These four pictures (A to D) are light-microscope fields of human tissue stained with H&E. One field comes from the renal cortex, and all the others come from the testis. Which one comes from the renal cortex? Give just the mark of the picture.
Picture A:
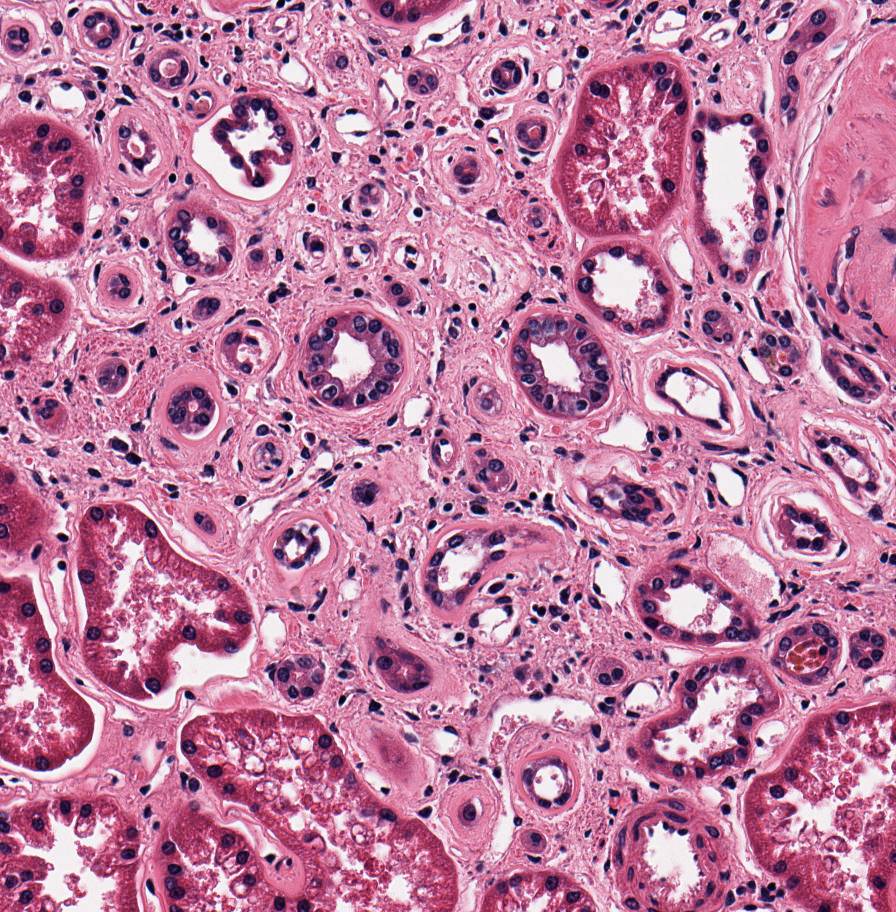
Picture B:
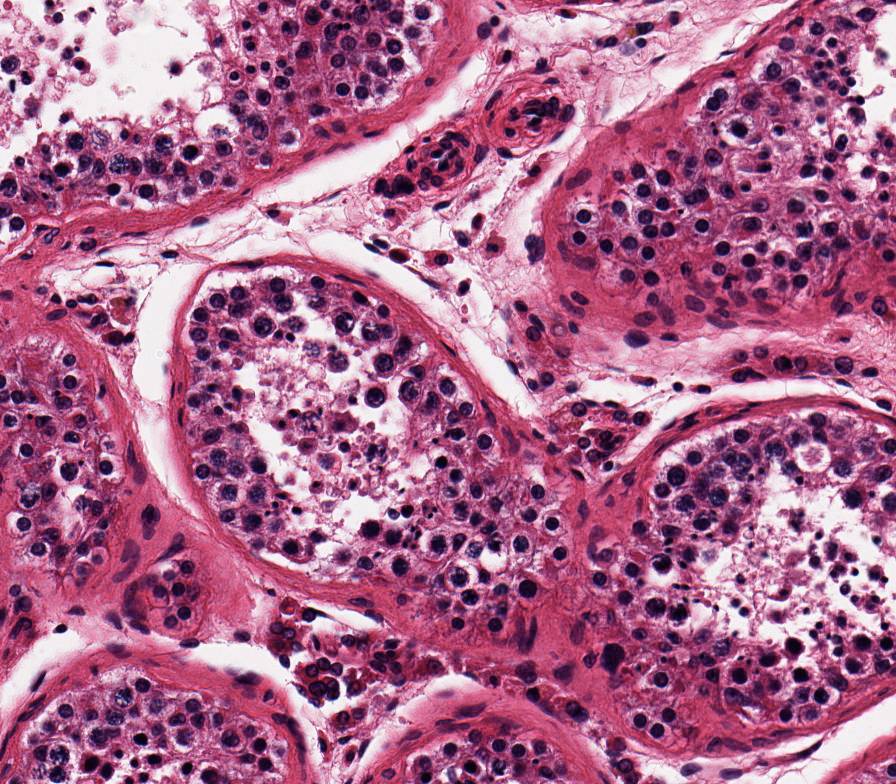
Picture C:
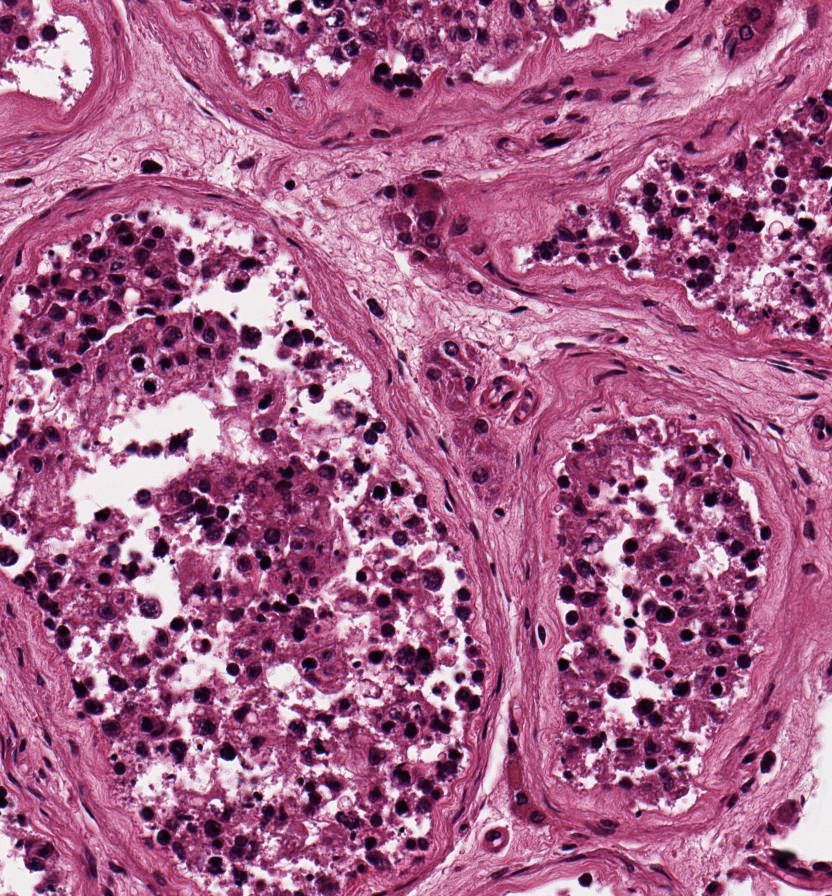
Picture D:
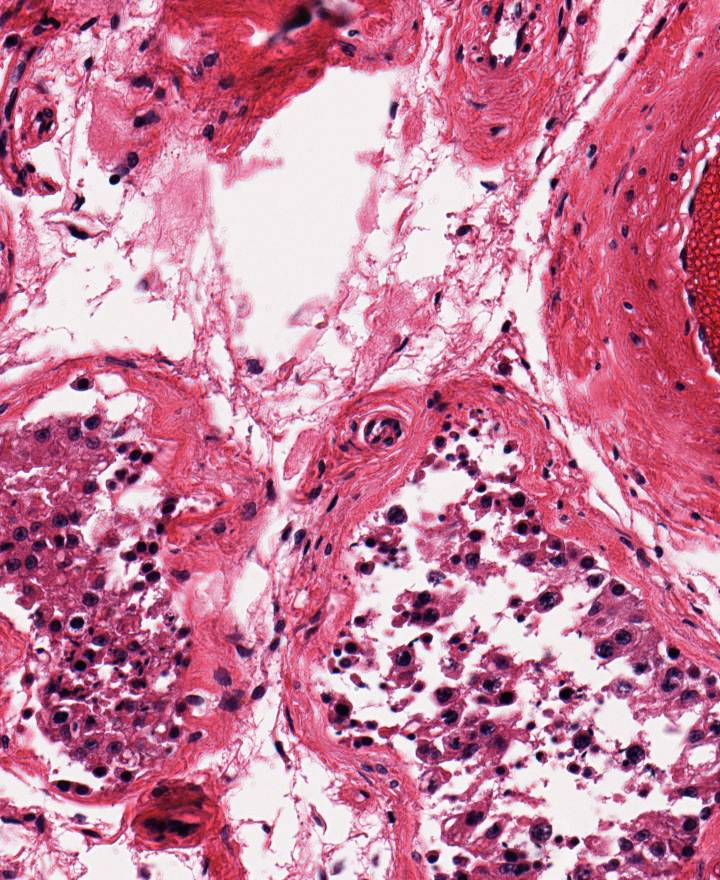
A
